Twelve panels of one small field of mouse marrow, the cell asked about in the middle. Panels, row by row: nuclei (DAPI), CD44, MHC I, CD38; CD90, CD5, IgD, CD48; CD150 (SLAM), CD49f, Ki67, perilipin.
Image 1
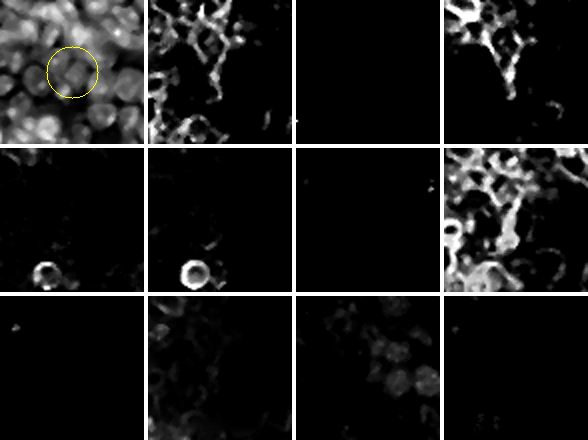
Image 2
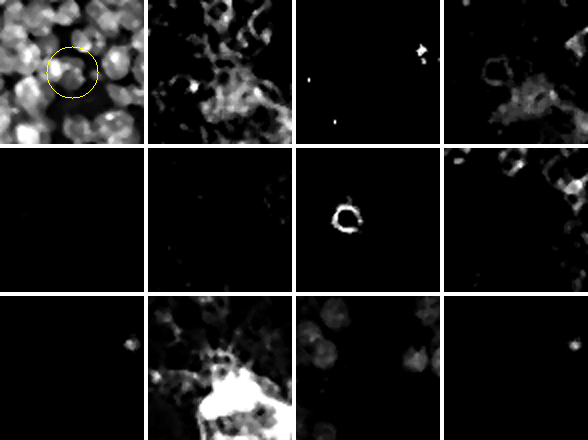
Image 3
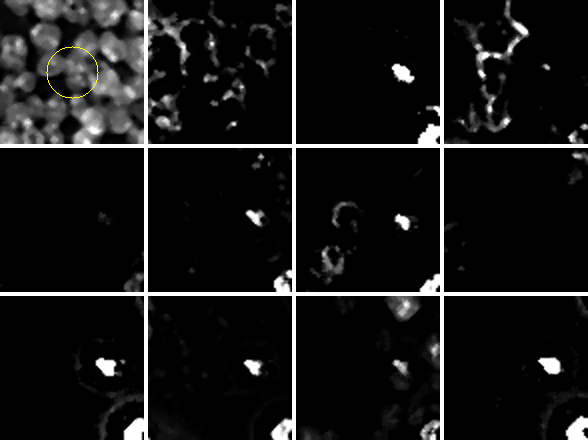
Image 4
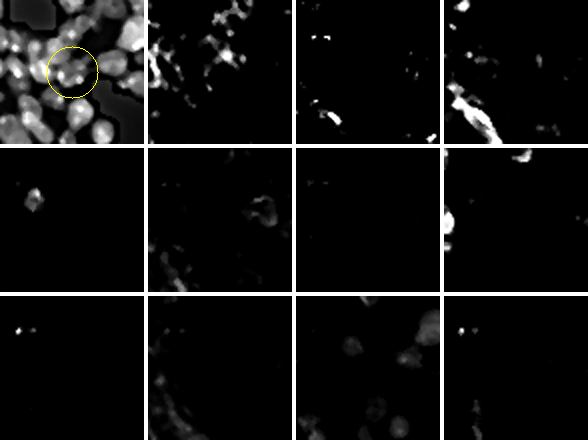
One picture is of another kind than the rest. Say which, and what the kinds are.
Picture 1 shows a capillary endothelial cell; the rest show neutrophils.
